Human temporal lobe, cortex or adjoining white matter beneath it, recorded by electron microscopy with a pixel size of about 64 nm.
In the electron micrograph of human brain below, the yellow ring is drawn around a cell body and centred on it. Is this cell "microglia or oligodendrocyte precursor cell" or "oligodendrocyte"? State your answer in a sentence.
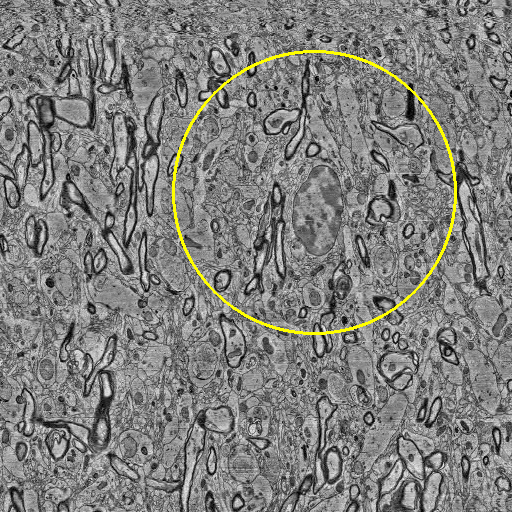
The cell in the middle of the ring is a microglial cell or oligodendrocyte precursor cell.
